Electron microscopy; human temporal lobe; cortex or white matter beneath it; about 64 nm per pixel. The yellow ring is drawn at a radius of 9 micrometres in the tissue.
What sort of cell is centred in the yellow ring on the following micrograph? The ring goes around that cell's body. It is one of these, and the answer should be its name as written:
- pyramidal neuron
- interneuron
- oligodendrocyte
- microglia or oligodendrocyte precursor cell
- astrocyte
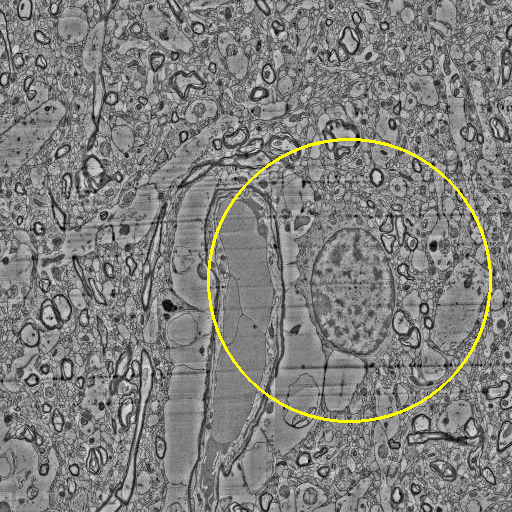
oligodendrocyte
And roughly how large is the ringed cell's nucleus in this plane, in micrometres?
In this plane, approximately 7 by 5 micrometers.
